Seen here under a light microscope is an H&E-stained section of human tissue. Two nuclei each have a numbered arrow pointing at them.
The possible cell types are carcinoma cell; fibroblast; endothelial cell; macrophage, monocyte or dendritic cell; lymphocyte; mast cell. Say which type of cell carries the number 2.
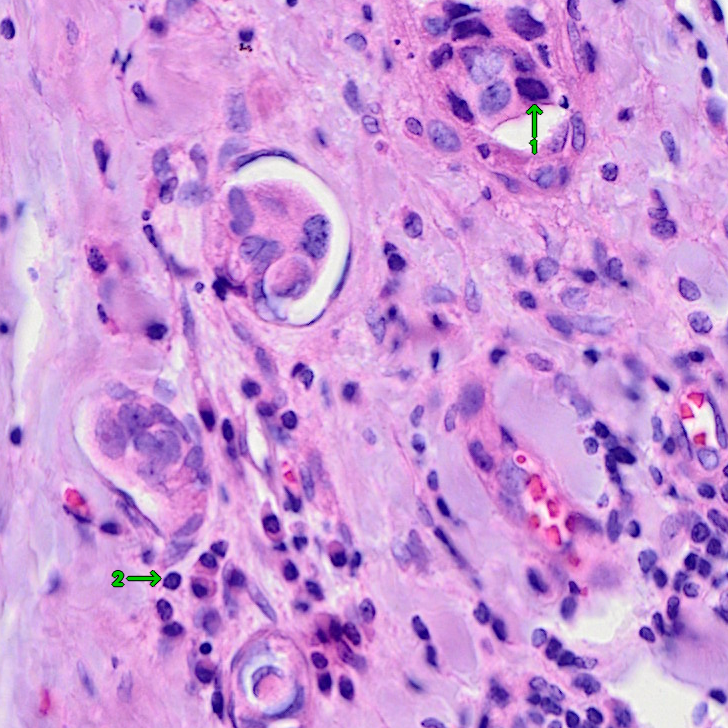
lymphocyte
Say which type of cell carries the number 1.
carcinoma cell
